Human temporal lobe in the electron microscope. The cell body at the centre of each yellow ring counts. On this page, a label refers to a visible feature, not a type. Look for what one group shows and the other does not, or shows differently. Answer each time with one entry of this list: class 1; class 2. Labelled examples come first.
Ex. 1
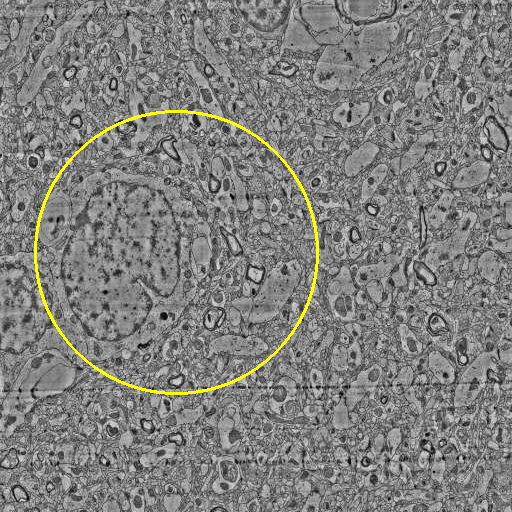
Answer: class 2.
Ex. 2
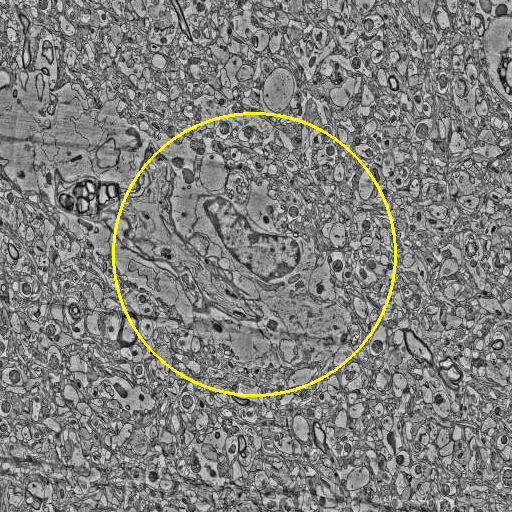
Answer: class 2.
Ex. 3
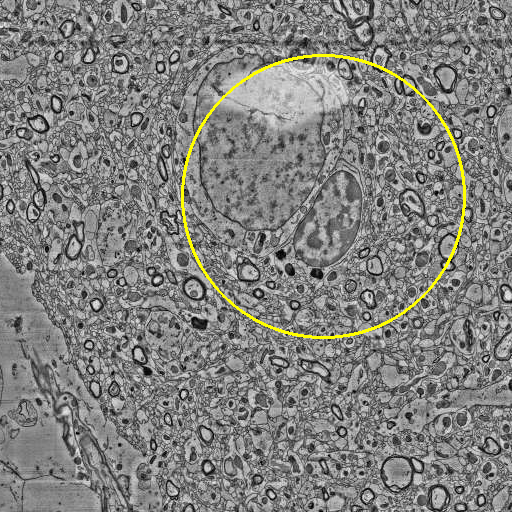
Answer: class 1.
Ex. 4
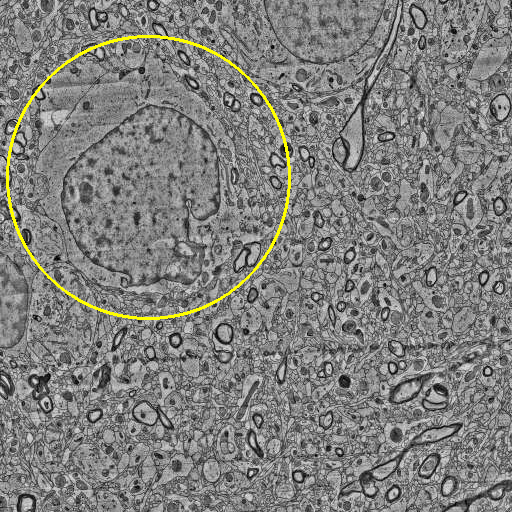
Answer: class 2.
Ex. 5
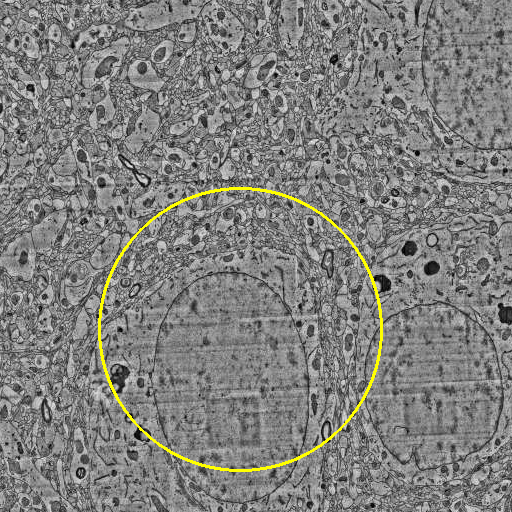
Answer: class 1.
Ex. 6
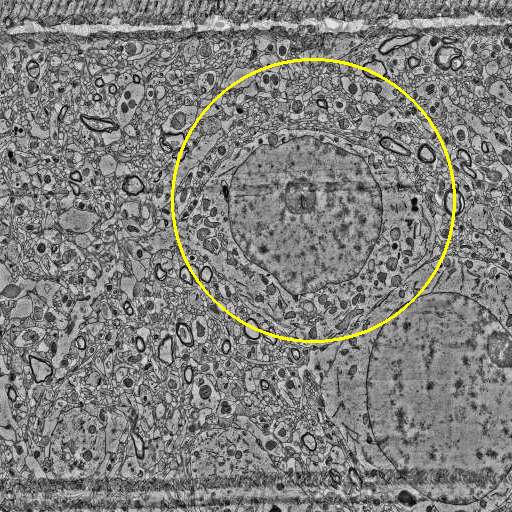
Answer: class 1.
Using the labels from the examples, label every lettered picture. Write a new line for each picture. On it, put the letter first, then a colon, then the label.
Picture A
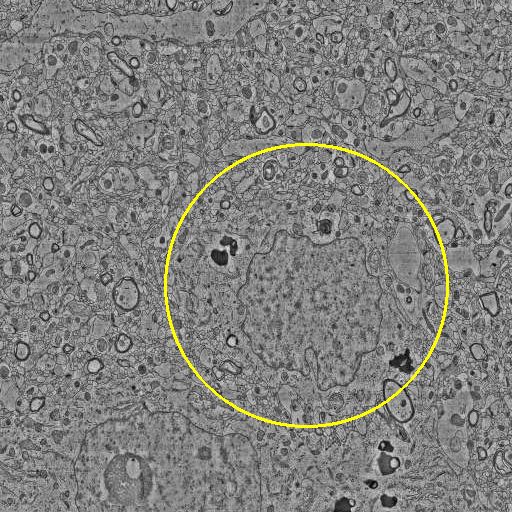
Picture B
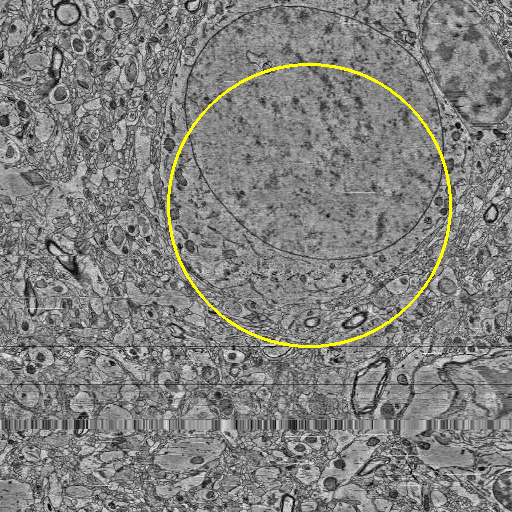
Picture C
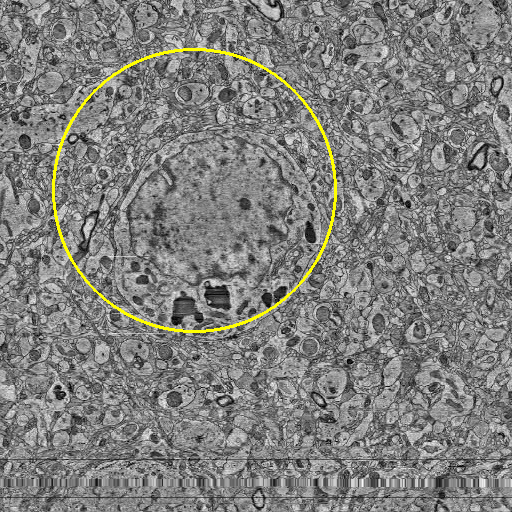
A: class 2.
B: class 1.
C: class 2.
